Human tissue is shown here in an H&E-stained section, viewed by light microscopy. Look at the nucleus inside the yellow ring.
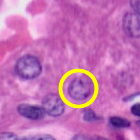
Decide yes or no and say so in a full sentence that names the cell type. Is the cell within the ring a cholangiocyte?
Yes, to name the cell within the ring a cholangiocyte is correct.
